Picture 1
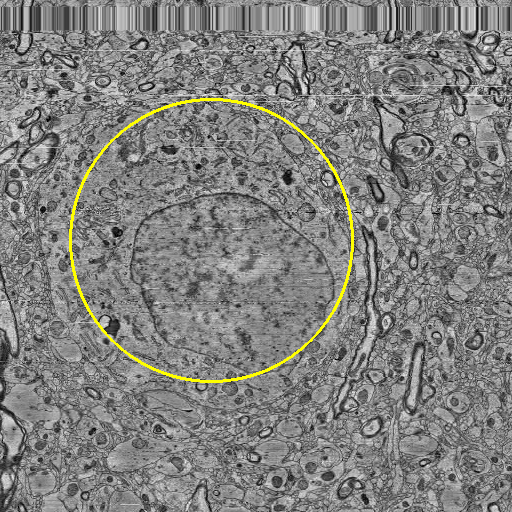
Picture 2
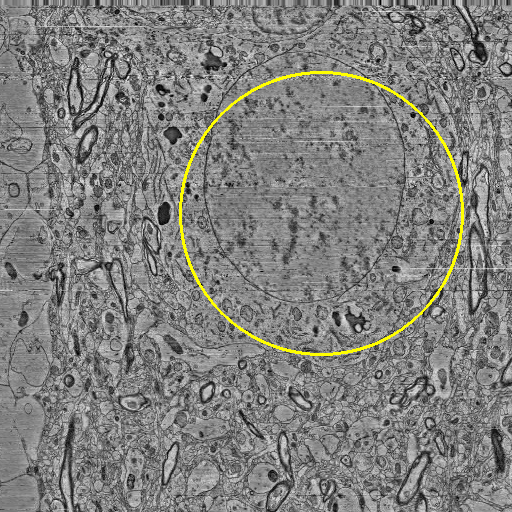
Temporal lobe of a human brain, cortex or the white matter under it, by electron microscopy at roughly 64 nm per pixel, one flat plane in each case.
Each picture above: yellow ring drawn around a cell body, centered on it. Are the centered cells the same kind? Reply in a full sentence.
Yes, the two cells are the same kind.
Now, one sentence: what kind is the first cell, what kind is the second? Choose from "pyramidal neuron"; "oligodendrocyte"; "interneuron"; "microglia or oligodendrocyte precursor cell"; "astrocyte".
The first and the second cell are each a pyramidal neuron.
